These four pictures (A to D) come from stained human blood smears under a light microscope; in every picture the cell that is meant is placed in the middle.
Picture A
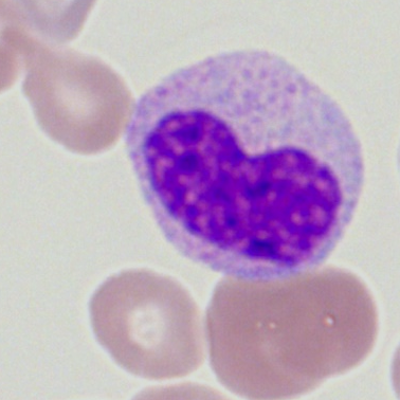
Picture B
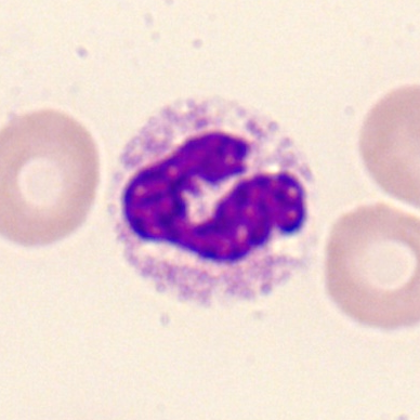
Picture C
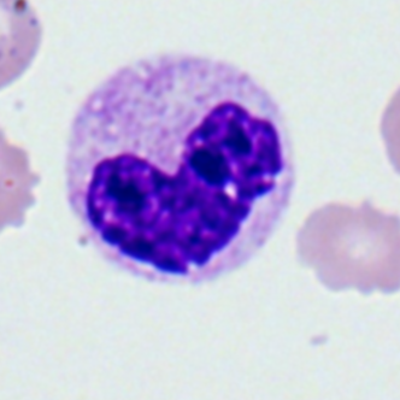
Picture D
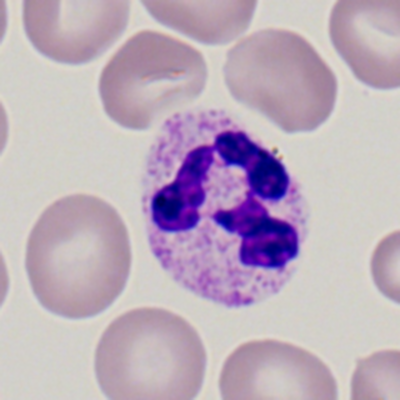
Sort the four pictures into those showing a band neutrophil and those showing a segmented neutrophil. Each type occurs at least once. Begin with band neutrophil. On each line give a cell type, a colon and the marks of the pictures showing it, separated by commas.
band neutrophil: A, C
segmented neutrophil: B, D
